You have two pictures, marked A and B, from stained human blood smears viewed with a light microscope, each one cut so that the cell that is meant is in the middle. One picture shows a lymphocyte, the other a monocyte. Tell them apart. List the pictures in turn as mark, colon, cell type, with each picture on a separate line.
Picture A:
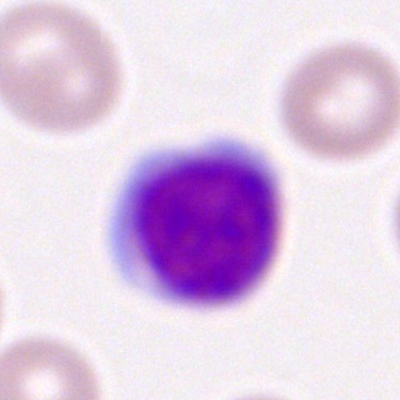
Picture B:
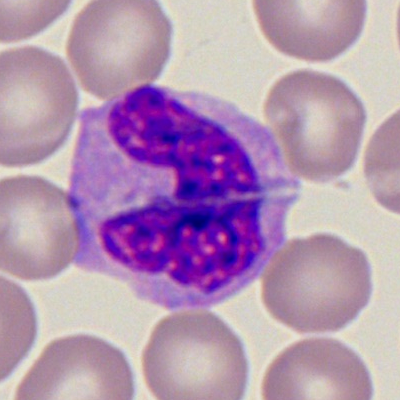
A: lymphocyte
B: monocyte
